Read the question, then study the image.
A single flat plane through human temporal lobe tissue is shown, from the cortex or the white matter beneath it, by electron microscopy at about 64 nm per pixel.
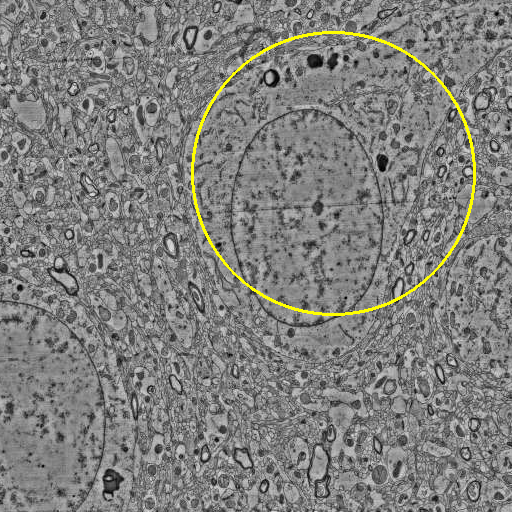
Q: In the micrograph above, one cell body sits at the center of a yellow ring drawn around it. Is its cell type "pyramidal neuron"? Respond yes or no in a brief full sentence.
Yes, its cell type is that one.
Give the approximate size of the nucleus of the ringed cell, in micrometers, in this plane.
The nucleus works out at approximately 14 by 10 micrometres in this plane.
